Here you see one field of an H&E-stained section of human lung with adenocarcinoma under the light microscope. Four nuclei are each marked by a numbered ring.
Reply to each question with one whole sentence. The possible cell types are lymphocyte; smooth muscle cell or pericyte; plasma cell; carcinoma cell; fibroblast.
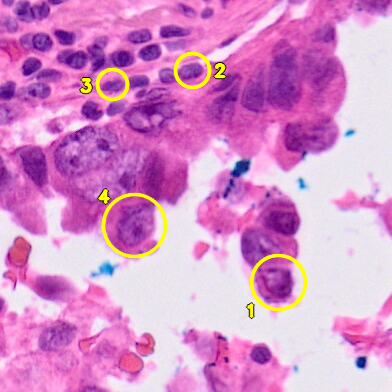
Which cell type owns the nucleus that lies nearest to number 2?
The nucleus nearest to number 2 is that of a lymphocyte.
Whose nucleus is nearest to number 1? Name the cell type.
The nearest nucleus to number 1 belongs to a carcinoma cell.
